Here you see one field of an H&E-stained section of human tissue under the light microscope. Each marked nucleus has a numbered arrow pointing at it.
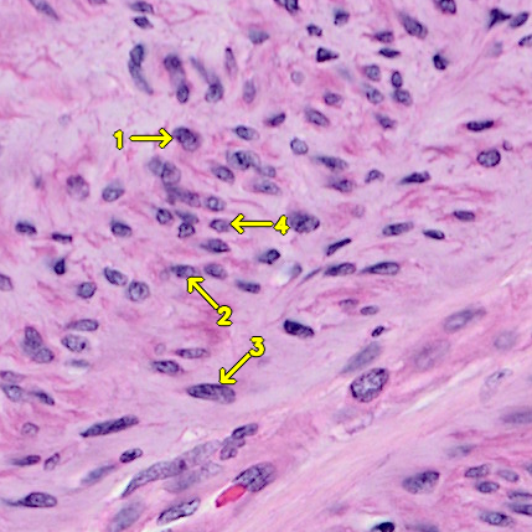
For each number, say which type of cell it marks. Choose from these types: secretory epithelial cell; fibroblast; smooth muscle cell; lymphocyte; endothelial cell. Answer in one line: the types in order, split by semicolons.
smooth muscle cell; smooth muscle cell; fibroblast; smooth muscle cell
